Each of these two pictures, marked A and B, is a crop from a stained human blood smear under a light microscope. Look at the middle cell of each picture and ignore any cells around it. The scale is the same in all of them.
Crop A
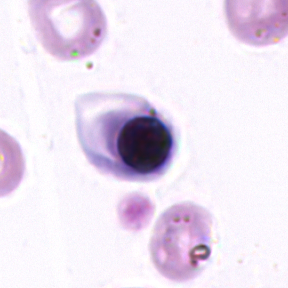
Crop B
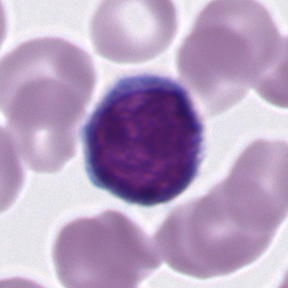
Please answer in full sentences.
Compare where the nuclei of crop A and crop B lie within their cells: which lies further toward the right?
Seen within its cell, the nucleus in crop A lies further toward the right.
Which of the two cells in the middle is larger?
It is the cell in crop B, about 2.5 times as large in area as the cell in crop A.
